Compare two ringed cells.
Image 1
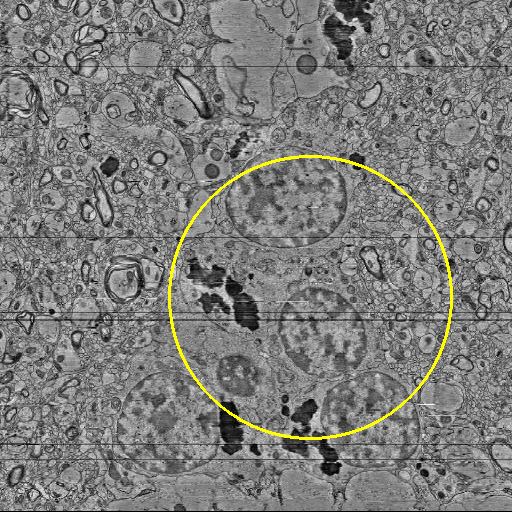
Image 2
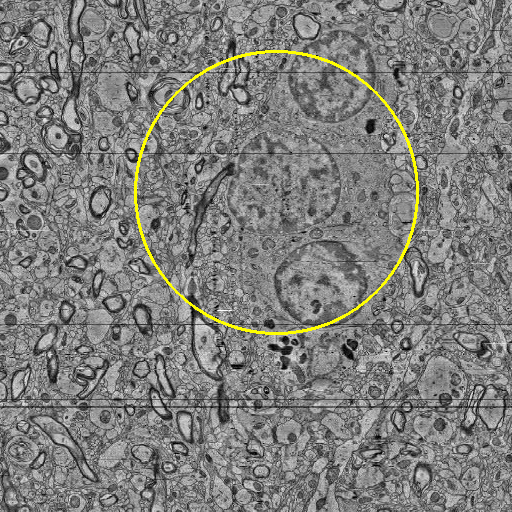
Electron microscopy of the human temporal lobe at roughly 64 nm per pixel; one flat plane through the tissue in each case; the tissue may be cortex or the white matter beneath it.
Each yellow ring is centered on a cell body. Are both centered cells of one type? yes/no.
yes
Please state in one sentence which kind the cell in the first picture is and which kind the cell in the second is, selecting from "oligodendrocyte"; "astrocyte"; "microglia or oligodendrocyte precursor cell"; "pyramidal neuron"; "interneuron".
The ring centre holds an oligodendrocyte in each of the two pictures.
